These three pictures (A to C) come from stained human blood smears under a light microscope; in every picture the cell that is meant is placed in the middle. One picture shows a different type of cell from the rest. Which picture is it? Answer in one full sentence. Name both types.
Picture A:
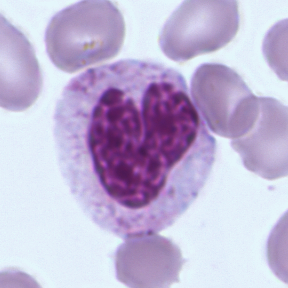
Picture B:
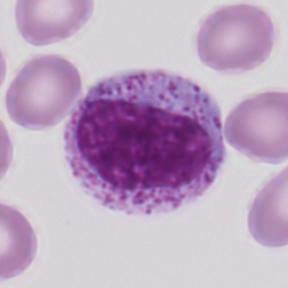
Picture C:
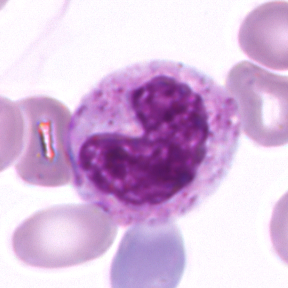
The different one is picture A; it shows a band neutrophil, whereas all the others show metamyelocytes.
